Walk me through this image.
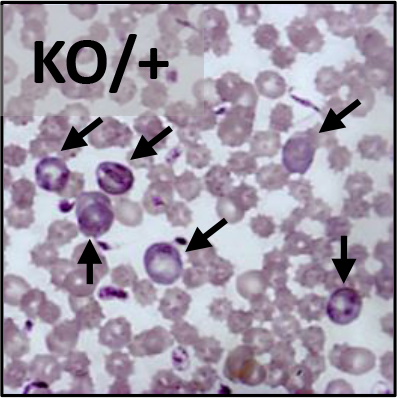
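A stained blood smear is crowded with pale pink, anucleate red cells, many with a spiky, crenated outline, and small purple fragments lie scattered between them. Several round cells, marked by arrows, stand out because they are somewhat larger and take a purplish stain, some with darker purple material inside. These are reticulocytes, young red cells that still carry stainable remnants.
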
